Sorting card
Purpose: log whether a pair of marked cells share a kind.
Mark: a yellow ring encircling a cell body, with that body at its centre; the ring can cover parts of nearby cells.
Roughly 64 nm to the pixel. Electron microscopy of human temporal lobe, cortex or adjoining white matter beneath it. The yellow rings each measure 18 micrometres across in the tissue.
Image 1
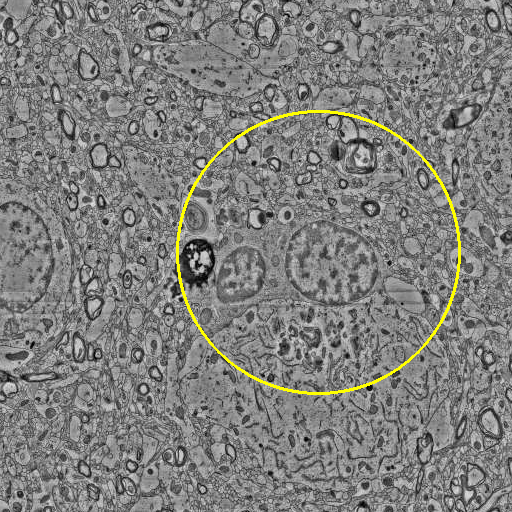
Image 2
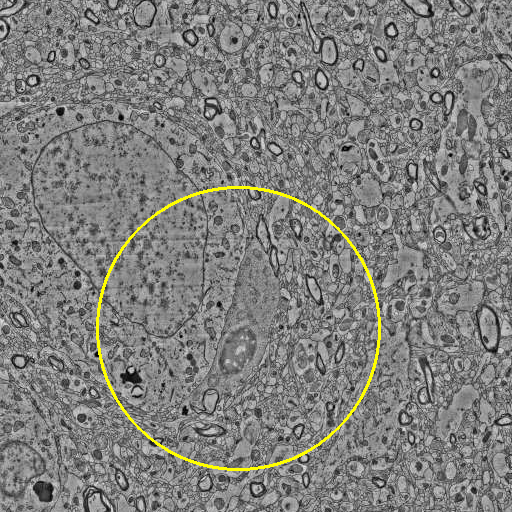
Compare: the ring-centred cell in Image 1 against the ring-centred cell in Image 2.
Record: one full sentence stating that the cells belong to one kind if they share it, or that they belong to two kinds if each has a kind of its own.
Across Images 1 and 2, the two ring-centred cells belong to one kind.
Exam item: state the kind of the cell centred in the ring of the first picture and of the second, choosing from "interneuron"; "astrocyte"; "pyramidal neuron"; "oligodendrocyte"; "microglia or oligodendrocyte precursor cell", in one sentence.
Both cells are the same kind, each one being an oligodendrocyte.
